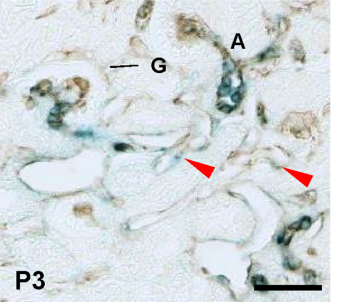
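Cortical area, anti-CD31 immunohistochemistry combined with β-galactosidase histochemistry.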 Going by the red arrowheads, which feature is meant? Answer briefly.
Peritubular capillaries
